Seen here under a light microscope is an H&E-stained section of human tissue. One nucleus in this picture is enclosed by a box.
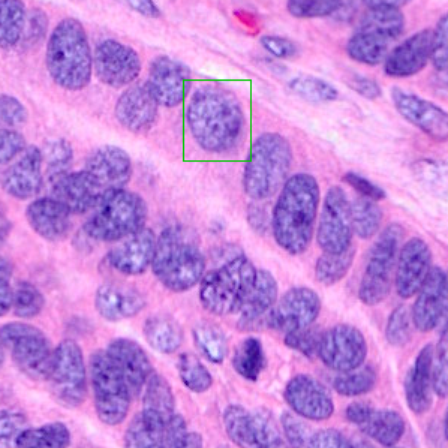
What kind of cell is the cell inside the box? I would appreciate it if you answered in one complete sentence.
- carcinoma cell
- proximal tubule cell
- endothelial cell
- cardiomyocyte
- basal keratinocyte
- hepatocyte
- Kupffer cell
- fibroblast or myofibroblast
Microscopically, the cell inside the box is categorized as a carcinoma cell.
